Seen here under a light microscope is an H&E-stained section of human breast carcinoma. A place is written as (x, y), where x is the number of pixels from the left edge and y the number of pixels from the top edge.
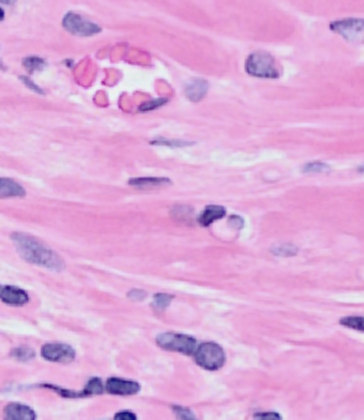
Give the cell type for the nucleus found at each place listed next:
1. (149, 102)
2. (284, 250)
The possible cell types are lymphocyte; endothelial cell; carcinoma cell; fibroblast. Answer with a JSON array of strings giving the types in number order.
["endothelial cell", "fibroblast"]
